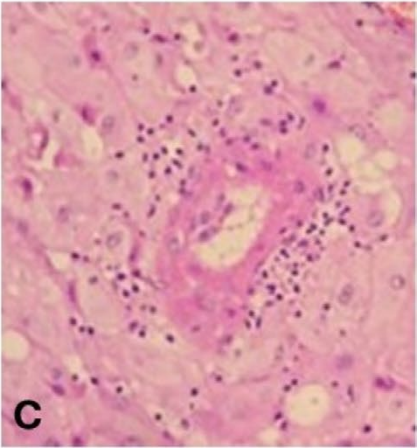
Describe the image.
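A decidual vessel lies among large polygonal cells with ample pink cytoplasm and round nuclei, some of which contain clear vacuoles. Clusters of small, dark inflammatory nuclei gather along the outer edge of the wall.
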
